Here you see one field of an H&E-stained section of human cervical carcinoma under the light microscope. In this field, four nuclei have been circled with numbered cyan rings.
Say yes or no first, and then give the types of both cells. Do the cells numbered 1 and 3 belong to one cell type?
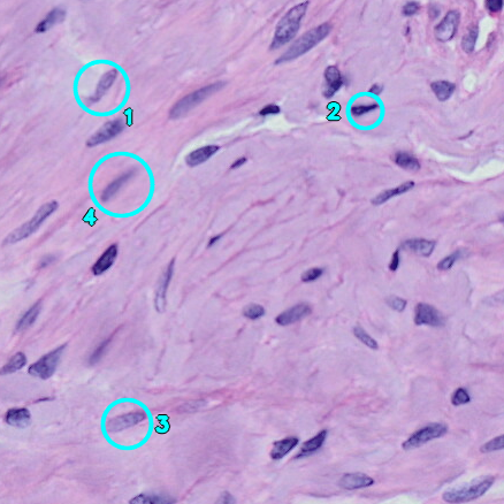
No, the correct reading has cell 1 as a fibroblast and cell 3 as a smooth muscle cell.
